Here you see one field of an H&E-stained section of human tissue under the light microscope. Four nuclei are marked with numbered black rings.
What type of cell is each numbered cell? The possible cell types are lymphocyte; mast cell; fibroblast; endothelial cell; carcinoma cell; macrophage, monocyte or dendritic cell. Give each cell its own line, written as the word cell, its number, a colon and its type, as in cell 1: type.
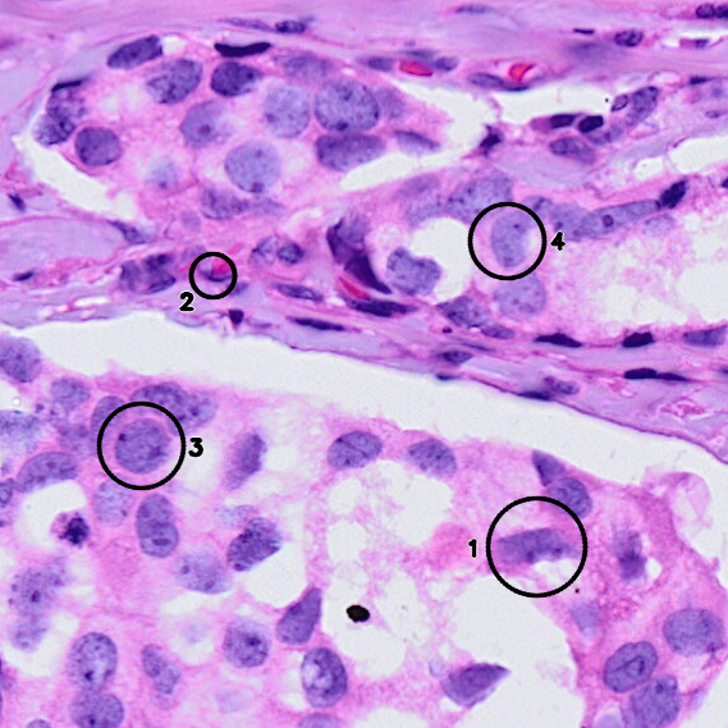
cell 1: carcinoma cell
cell 2: endothelial cell
cell 3: carcinoma cell
cell 4: carcinoma cell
